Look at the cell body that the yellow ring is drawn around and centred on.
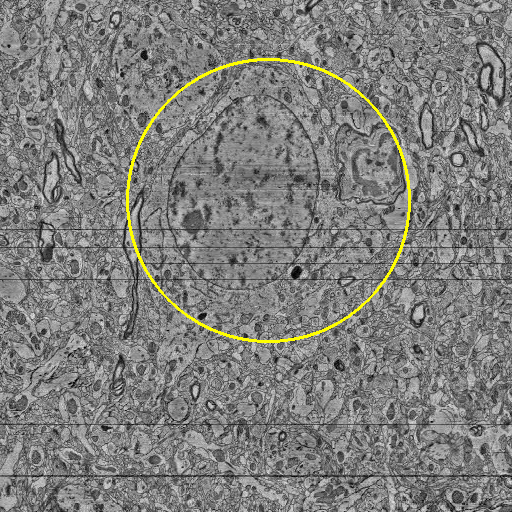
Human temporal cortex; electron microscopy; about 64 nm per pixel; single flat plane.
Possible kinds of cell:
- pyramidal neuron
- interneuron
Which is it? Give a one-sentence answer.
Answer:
The centred cell body is that of a pyramidal neuron.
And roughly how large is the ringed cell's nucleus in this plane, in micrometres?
About 13 by 10 micrometres in this plane.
